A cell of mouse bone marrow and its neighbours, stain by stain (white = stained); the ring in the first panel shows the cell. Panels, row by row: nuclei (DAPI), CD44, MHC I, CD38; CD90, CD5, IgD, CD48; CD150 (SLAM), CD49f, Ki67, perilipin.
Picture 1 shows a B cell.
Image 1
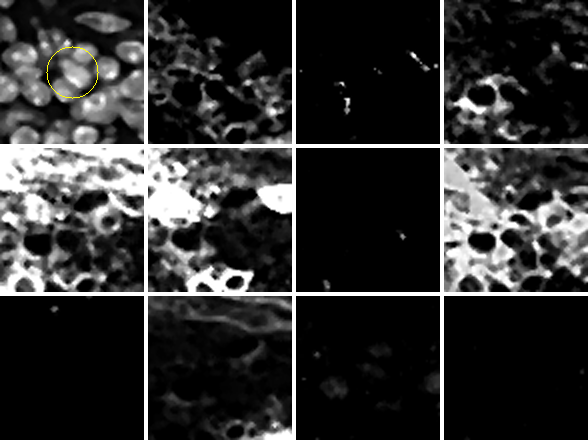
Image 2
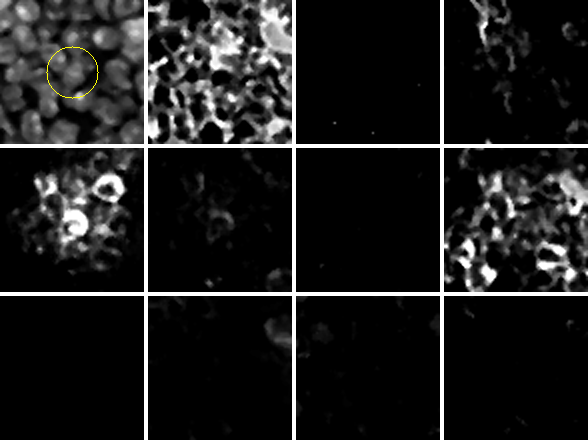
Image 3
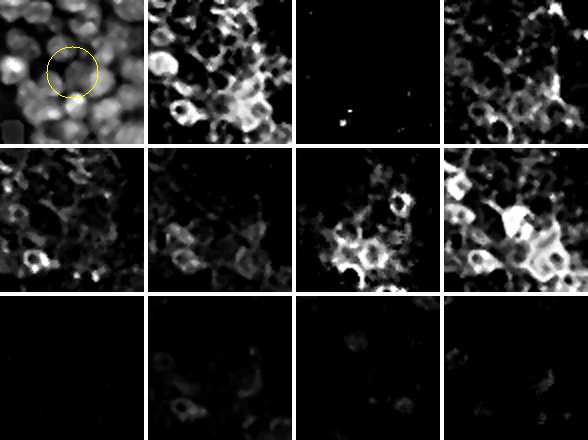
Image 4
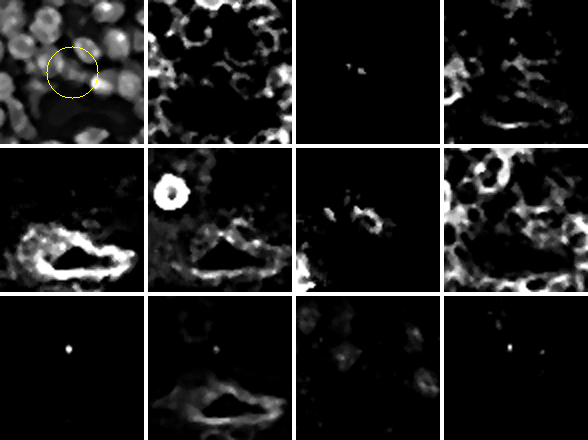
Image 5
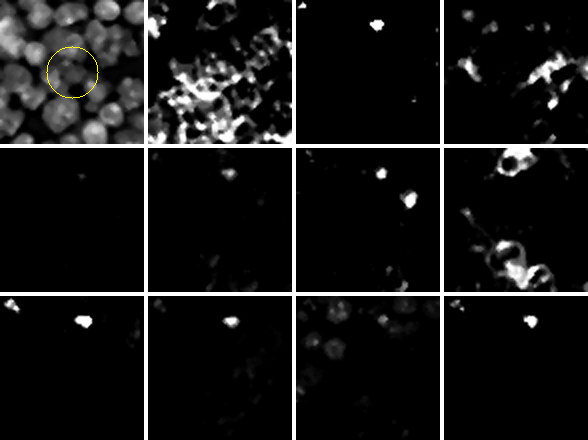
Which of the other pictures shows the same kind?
Picture 4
